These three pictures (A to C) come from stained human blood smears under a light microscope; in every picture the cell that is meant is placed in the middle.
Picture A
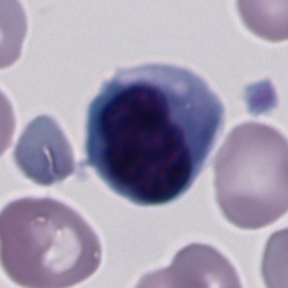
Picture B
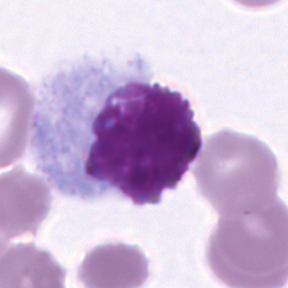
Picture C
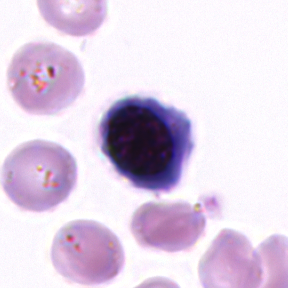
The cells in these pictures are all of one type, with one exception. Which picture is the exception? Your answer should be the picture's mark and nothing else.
B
